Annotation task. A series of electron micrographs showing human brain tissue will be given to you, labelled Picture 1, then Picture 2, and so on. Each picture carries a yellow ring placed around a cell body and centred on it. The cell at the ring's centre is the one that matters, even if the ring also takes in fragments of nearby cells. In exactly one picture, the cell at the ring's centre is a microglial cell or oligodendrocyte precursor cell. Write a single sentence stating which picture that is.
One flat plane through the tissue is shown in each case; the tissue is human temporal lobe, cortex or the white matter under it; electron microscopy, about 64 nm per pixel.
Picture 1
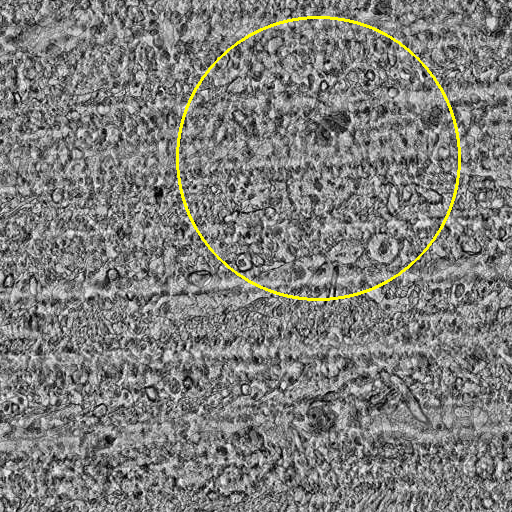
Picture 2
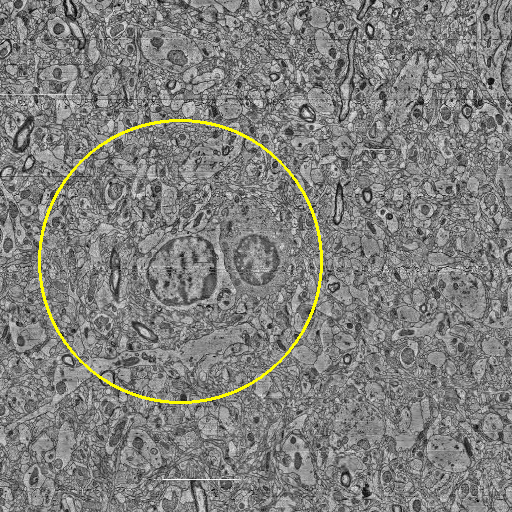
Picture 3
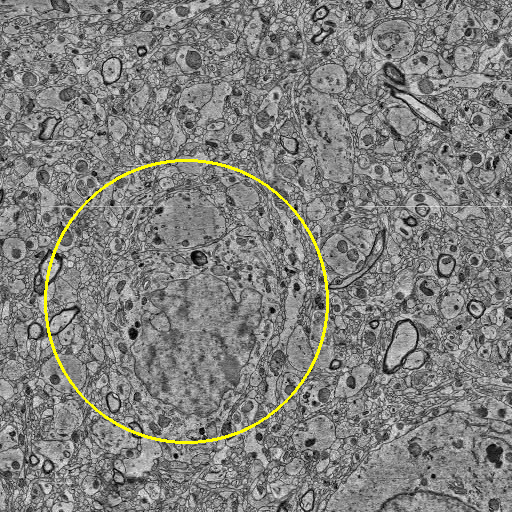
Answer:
Picture 2 holds the requested cell at the very centre of its ring.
